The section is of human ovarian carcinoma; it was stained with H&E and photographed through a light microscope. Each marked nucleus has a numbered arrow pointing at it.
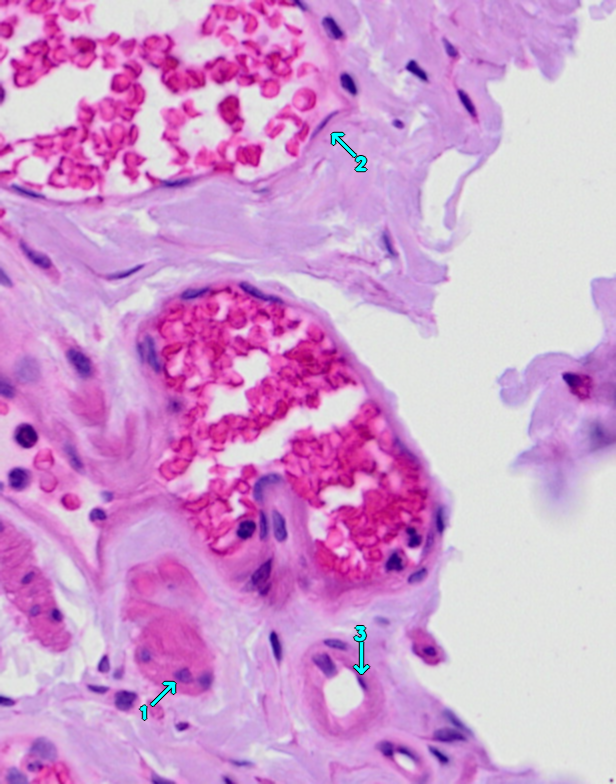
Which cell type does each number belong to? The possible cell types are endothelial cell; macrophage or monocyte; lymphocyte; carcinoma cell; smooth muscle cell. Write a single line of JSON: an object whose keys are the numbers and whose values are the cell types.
{"1": "smooth muscle cell", "2": "endothelial cell", "3": "endothelial cell"}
